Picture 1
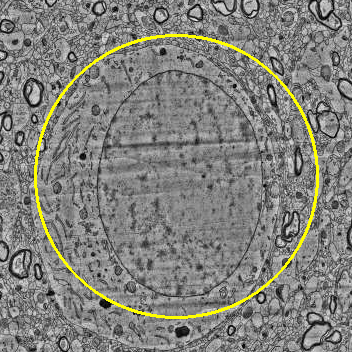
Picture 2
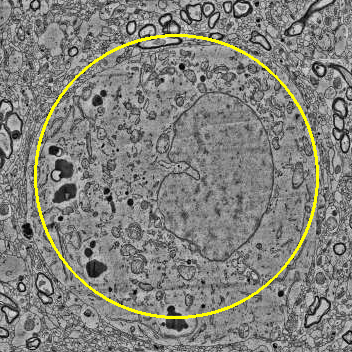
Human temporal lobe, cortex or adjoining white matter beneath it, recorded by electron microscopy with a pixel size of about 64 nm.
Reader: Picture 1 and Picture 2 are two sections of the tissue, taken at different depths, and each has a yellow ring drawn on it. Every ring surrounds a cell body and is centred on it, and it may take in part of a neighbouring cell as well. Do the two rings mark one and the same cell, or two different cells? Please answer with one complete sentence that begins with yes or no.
No, the two rings outline two separate cells in this micrograph.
